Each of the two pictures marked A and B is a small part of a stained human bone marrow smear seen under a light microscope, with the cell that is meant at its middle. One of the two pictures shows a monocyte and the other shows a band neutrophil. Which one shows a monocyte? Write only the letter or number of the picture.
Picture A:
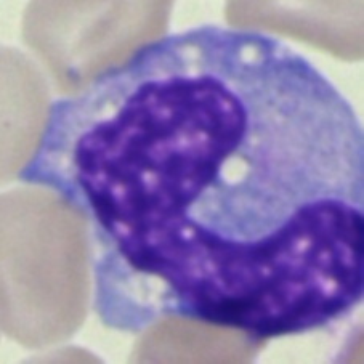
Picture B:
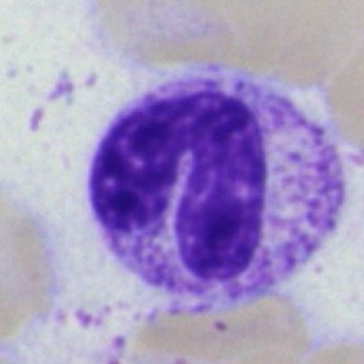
A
